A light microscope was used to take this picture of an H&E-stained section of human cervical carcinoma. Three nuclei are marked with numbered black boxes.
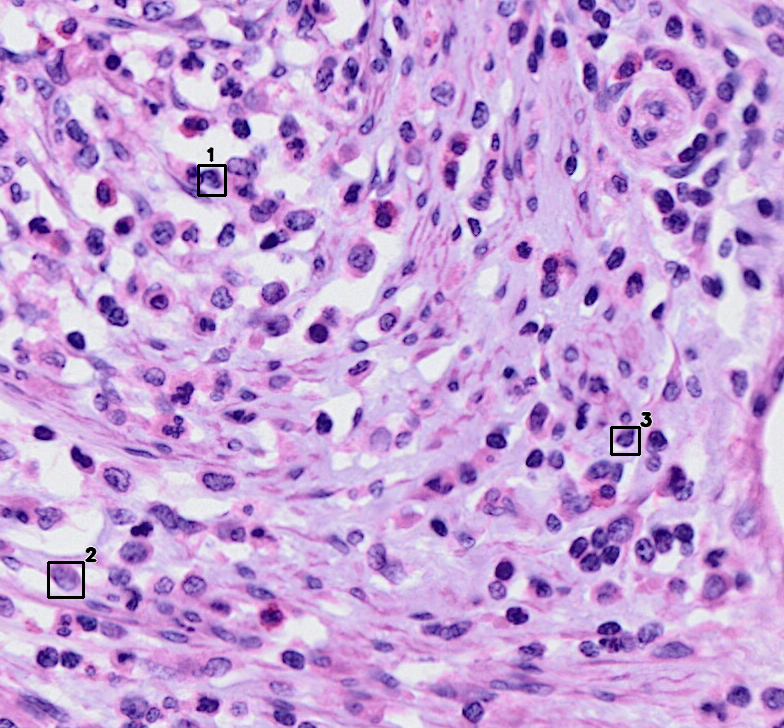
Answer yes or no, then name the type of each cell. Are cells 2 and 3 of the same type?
No, cell 2 is a macrophage or monocyte and cell 3 is a lymphocyte.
